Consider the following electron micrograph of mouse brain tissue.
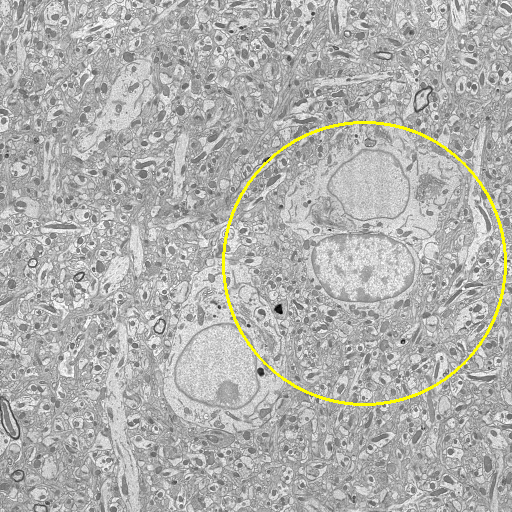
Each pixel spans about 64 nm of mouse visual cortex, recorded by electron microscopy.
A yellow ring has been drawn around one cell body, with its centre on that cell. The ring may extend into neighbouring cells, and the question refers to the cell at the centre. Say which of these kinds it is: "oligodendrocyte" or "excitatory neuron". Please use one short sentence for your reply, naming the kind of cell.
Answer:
The centre of the ring falls on an oligodendrocyte.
